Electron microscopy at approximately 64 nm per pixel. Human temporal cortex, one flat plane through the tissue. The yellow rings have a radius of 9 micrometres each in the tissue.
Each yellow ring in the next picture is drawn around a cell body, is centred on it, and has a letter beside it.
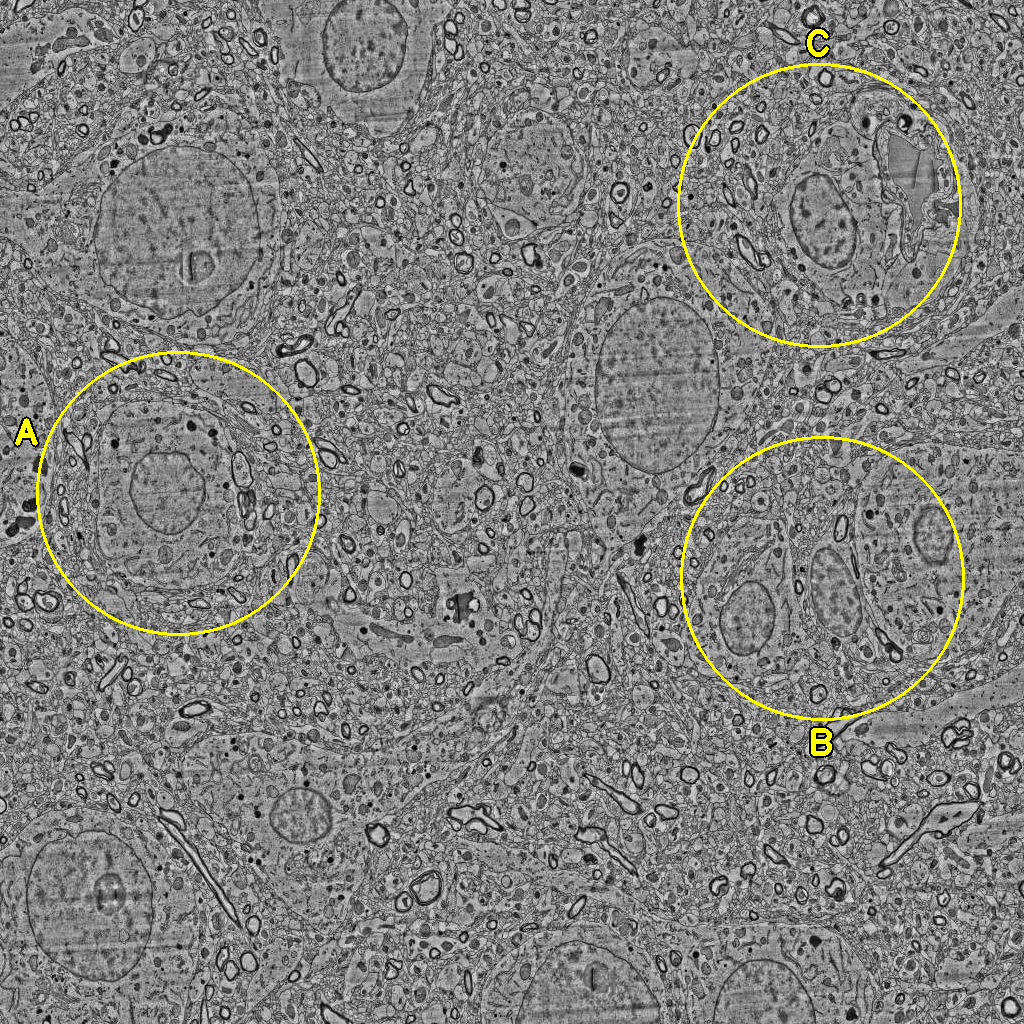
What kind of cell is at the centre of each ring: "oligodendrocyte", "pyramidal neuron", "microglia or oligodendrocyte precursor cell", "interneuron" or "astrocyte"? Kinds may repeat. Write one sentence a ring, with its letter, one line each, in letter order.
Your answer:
The centre of ring A falls on a pyramidal neuron.
The centre of ring B falls on an oligodendrocyte.
The centre of ring C falls on a microglial cell or oligodendrocyte precursor cell.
